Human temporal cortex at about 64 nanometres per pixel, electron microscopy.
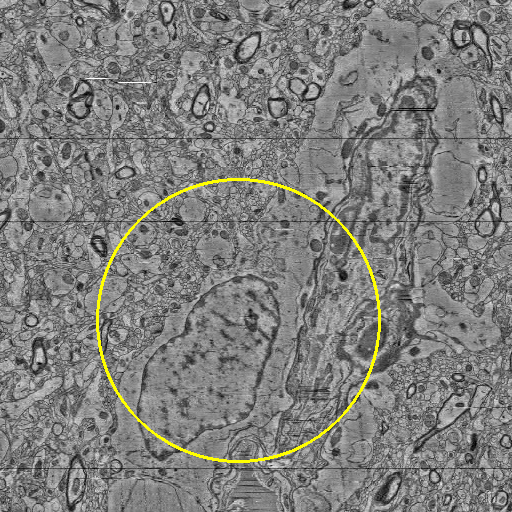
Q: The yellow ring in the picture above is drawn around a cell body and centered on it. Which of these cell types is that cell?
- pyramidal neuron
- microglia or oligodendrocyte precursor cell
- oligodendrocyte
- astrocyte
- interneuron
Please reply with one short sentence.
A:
The cell body at the ring's center belongs to a microglial cell or oligodendrocyte precursor cell.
